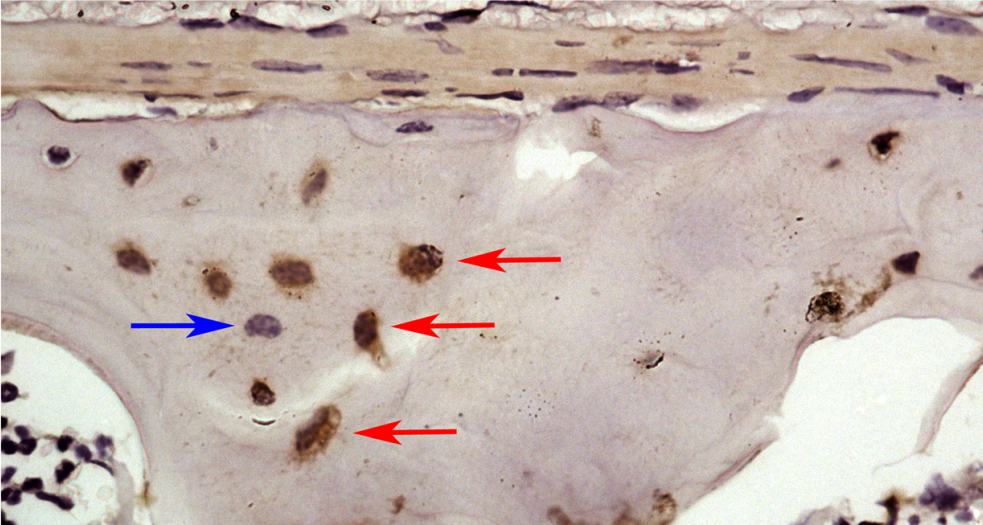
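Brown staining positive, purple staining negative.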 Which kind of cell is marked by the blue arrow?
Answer: Osteocyte.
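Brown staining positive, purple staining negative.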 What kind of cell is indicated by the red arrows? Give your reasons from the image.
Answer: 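The marked cells sit singly in small spaces within pale, uniform bone matrix. The marked cells are small and oval and stain brown. Several similar cells are scattered through the matrix, spaced apart from one another.
Conclusion: osteocytes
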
